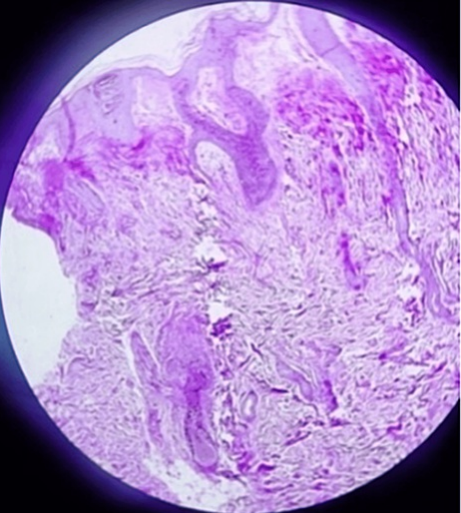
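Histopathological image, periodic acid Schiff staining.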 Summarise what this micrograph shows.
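A section of skin shows a surface epithelium with downgrowths, beneath which a broad stroma stains pale purple. The stroma is dense and fibrous with few nuclei, and hair-follicle-like epithelial structures run down through it.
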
